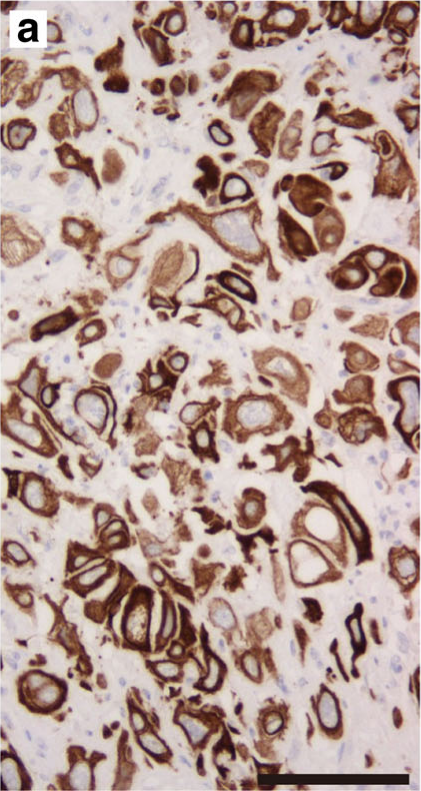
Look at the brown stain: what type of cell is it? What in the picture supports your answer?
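Brown-stained cells vary greatly in size and shape. Some cells are very large with irregular outlines, others small. Cells lie scattered singly and in small groups in pale stroma. So: pleomorphic tumor cells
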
